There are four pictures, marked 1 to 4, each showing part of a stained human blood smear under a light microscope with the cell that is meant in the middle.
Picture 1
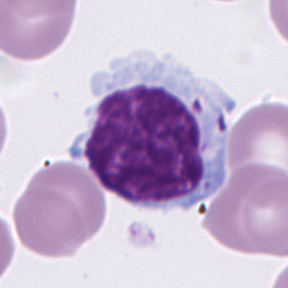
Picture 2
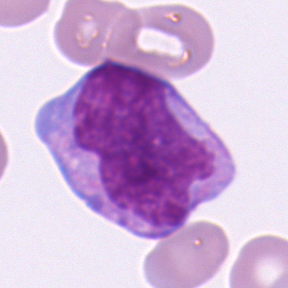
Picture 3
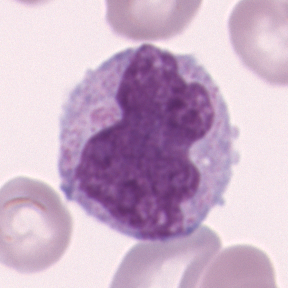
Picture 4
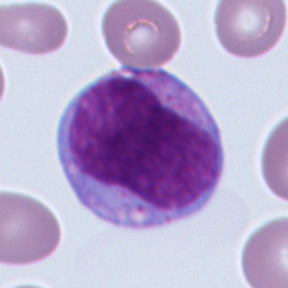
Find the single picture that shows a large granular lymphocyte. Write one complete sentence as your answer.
It is picture 1 that shows the large granular lymphocyte.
